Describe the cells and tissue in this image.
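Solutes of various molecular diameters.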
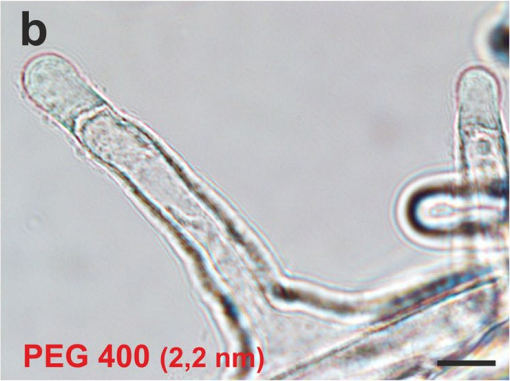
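This shows a plasmolysed root hair cell, a long tubular outgrowth with a rounded tip. Within the outer wall a second, inner outline marks the shrunken cell contents, separated from the wall by a clear gap. The wall itself keeps its straight tubular shape, while a further root hair is seen at the edge of the field.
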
